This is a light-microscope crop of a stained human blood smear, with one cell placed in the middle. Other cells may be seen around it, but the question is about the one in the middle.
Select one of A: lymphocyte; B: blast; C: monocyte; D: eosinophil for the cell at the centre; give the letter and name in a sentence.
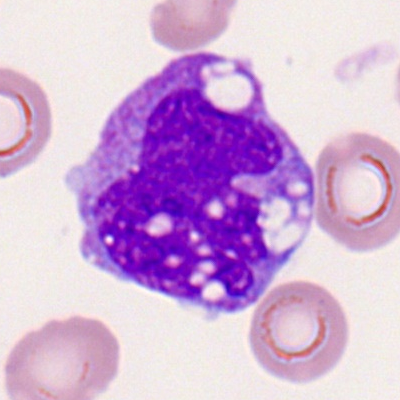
According to option C, which is correct, the cell in the middle is a monocyte.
